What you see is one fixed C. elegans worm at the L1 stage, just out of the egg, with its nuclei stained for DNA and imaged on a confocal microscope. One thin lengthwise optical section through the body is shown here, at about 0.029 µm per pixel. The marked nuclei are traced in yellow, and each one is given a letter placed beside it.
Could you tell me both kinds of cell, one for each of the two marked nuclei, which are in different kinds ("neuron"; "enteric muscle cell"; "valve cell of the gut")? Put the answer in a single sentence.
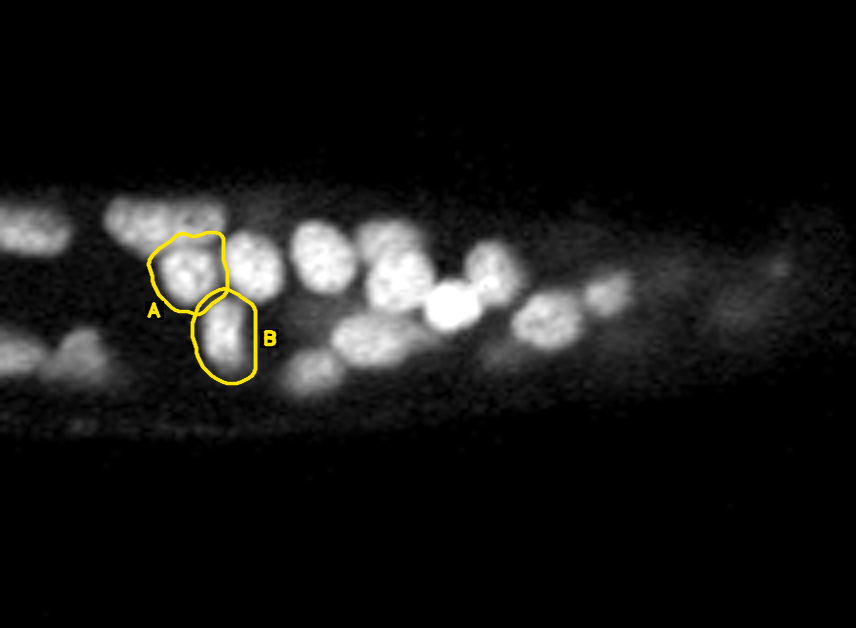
A belongs to an enteric muscle cell and B to a valve cell of the gut.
